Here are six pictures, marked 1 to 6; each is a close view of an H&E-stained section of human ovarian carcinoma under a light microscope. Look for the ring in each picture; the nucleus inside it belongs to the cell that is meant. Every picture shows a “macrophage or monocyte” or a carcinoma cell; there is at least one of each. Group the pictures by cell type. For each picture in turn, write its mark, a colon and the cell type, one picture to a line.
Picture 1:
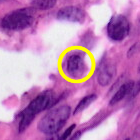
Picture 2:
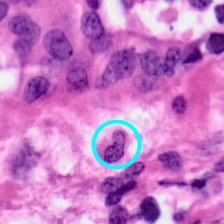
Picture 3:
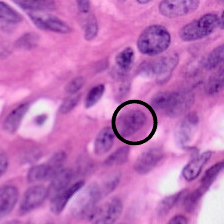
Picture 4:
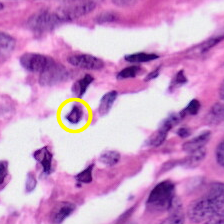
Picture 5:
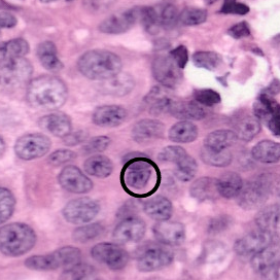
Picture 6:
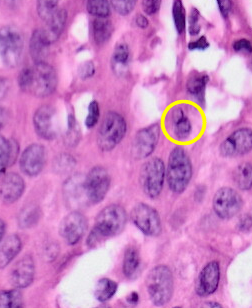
1: macrophage or monocyte
2: macrophage or monocyte
3: carcinoma cell
4: carcinoma cell
5: carcinoma cell
6: macrophage or monocyte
